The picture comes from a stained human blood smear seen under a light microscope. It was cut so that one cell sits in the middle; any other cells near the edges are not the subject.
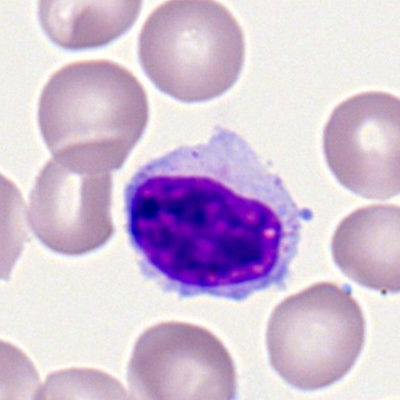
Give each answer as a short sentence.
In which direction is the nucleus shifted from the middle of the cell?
The nucleus lies toward the lower left of the cell.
